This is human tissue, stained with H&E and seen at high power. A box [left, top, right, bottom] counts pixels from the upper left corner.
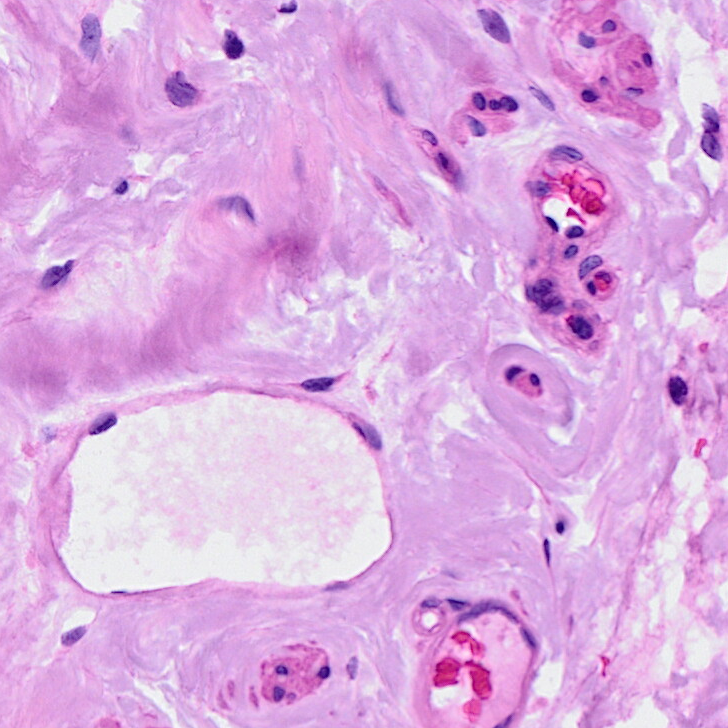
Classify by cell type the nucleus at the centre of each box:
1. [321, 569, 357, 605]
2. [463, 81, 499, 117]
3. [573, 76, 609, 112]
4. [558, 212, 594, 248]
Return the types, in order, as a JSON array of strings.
["endothelial cell", "smooth muscle cell", "smooth muscle cell", "endothelial cell"]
